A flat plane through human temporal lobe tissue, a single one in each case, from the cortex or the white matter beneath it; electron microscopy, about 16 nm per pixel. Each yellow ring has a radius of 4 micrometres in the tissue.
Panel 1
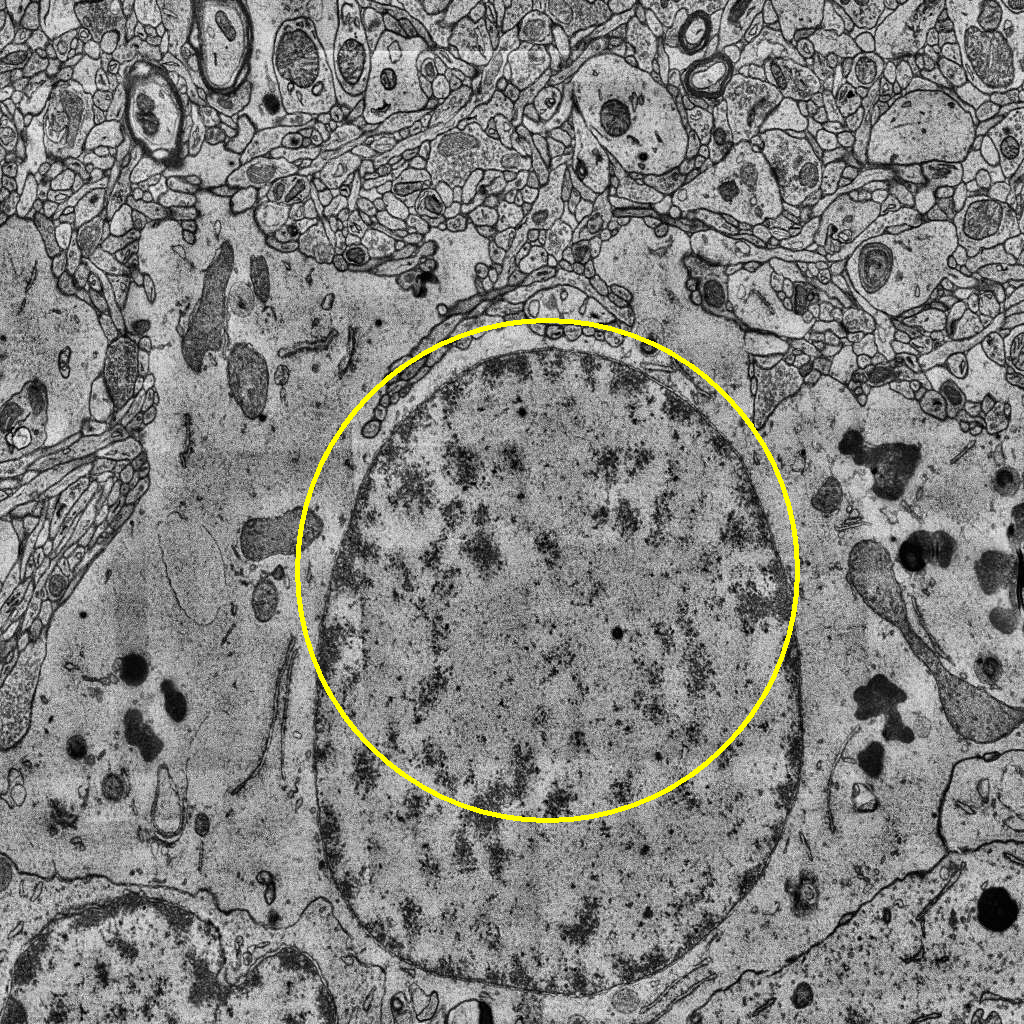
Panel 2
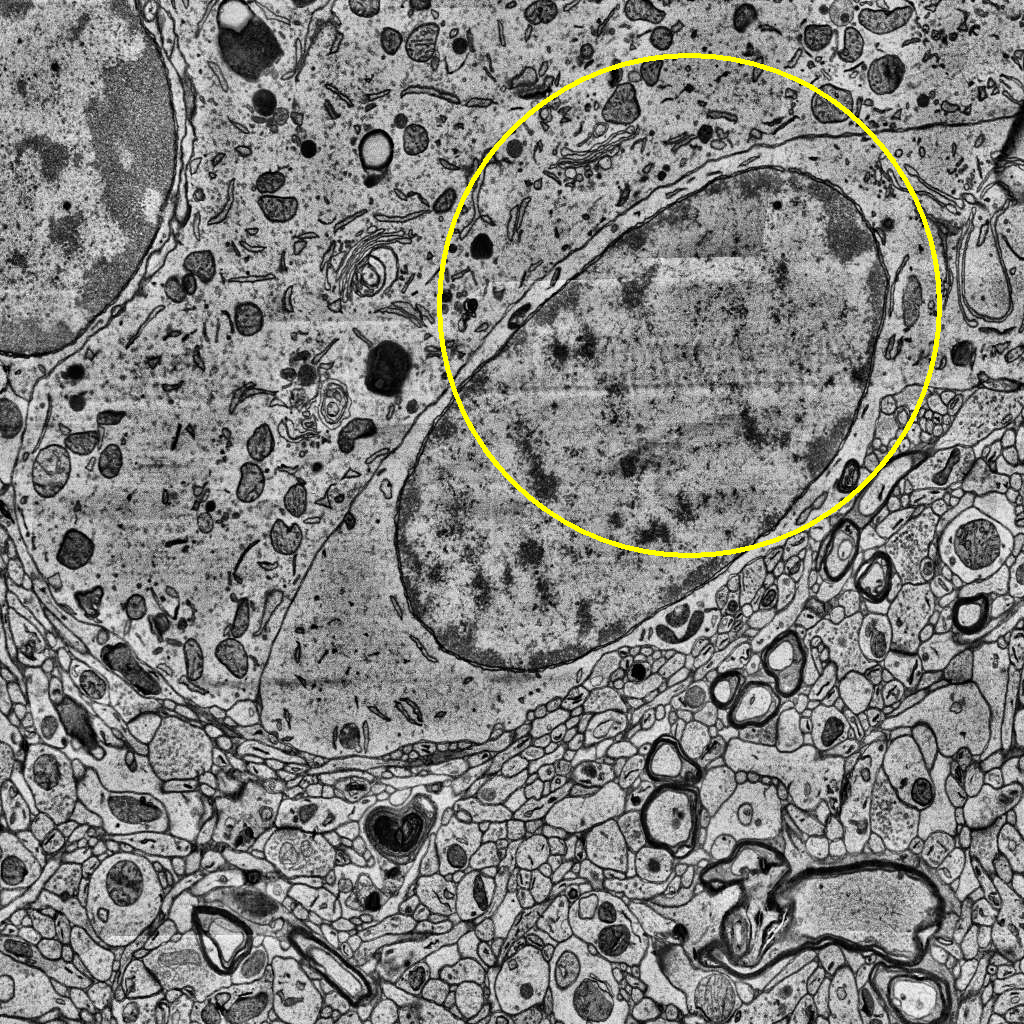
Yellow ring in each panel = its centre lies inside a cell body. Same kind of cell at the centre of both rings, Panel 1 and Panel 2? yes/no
no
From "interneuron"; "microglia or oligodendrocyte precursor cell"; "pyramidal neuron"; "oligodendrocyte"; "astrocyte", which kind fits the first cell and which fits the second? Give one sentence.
For the first picture it is an astrocyte; for the second, a microglial cell or oligodendrocyte precursor cell.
